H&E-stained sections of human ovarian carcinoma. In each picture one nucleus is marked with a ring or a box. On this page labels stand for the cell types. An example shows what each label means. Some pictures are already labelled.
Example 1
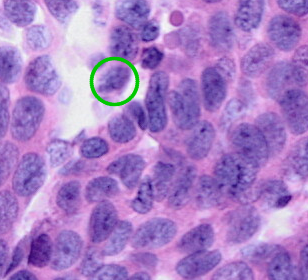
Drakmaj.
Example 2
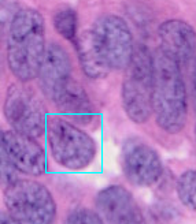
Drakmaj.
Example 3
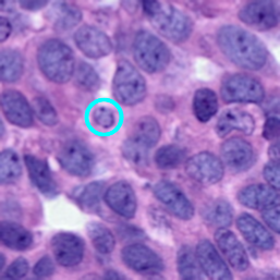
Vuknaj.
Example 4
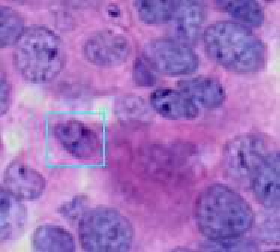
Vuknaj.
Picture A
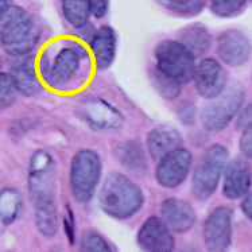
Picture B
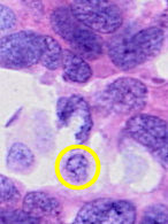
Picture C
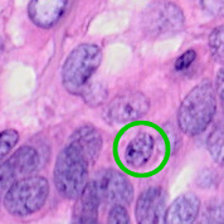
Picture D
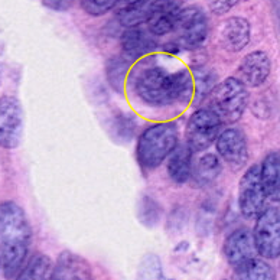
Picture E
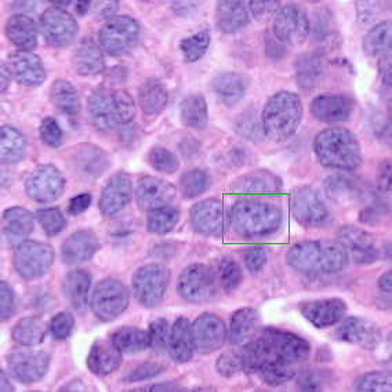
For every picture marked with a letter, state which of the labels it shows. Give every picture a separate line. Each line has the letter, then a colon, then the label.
A: Drakmaj.
B: Vuknaj.
C: Vuknaj.
D: Drakmaj.
E: Drakmaj.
